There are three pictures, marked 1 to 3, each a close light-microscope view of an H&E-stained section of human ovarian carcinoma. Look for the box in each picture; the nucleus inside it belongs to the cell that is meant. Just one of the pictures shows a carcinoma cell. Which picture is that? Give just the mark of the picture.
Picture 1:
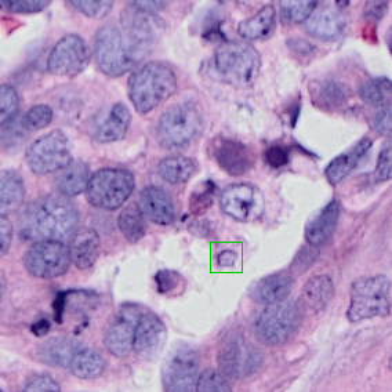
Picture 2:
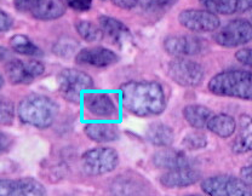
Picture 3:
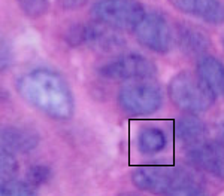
2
